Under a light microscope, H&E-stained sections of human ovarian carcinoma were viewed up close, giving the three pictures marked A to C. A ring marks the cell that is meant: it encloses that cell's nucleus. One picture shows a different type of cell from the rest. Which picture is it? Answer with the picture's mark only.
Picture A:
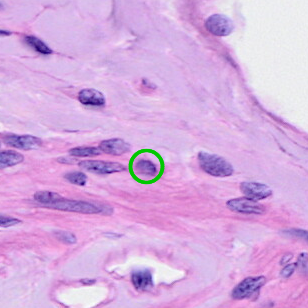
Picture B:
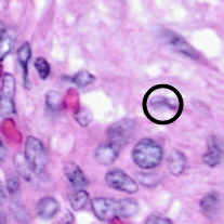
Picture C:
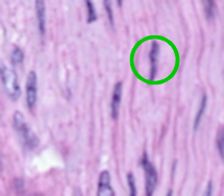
A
